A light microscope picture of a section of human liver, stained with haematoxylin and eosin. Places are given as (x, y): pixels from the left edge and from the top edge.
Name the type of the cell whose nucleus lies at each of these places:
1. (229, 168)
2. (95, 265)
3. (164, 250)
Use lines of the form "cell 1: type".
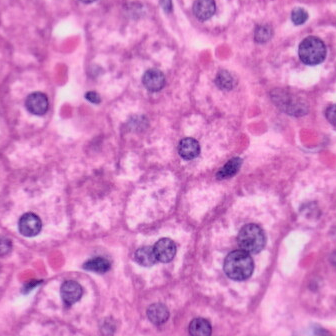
cell 1: fibroblast or stellate cell
cell 2: Kupffer cell
cell 3: hepatocyte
